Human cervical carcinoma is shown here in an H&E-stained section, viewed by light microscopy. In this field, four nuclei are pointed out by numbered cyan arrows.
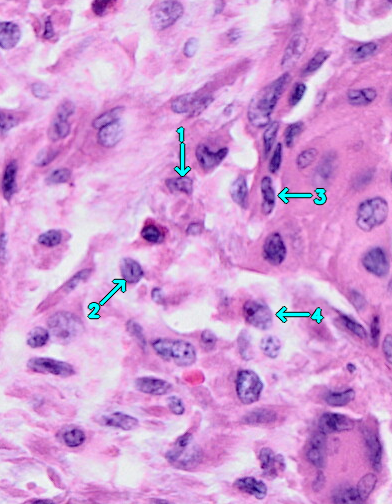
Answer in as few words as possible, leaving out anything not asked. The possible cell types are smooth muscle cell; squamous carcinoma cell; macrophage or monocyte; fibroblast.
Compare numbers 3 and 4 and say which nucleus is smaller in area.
3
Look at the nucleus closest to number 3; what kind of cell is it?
macrophage or monocyte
